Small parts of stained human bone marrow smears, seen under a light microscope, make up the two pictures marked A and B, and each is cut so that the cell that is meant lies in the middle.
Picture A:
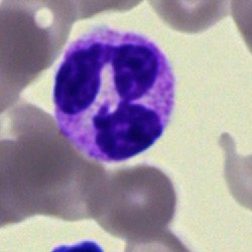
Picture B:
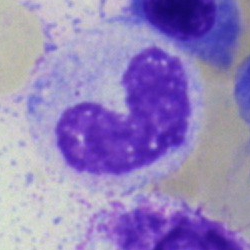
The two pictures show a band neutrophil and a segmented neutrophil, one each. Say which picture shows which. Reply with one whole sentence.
Picture A is of a segmented neutrophil, and picture B is of a band neutrophil.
